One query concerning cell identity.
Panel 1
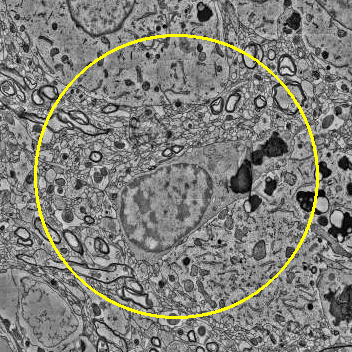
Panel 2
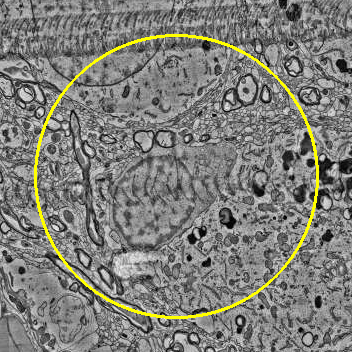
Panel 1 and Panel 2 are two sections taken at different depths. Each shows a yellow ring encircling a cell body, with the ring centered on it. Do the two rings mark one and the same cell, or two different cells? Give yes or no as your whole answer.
yes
